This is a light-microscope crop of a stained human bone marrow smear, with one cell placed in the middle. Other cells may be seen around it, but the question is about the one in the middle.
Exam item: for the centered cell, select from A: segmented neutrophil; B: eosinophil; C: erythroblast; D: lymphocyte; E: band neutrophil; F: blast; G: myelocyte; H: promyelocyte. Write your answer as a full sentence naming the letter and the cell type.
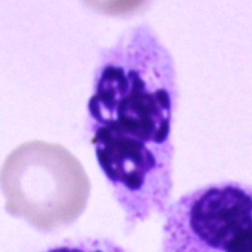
Correctly, option A names the cell in the middle a segmented neutrophil.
